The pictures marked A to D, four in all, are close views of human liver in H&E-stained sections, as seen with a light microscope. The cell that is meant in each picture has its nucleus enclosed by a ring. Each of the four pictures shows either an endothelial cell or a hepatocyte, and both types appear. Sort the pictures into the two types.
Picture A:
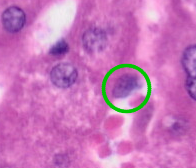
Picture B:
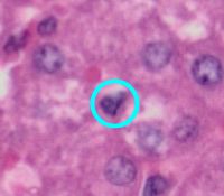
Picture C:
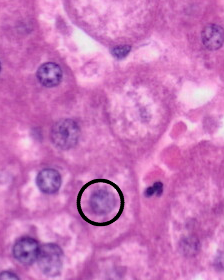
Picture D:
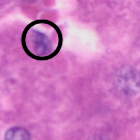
A: endothelial cell
B: endothelial cell
C: hepatocyte
D: endothelial cell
